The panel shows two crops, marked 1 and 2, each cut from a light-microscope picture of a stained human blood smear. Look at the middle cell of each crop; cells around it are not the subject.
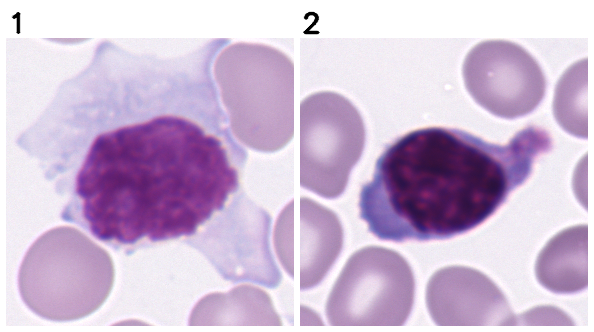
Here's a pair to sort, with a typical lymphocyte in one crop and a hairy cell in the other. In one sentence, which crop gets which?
Crop 1 has been identified as a hairy cell, and crop 2 has been identified as a typical lymphocyte.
